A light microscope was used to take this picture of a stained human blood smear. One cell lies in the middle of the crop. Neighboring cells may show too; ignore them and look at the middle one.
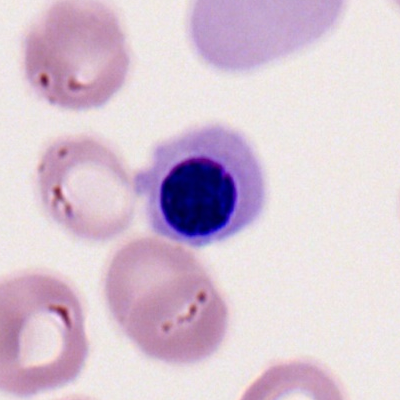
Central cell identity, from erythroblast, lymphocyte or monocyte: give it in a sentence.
The center cell of this crop is an erythroblast.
